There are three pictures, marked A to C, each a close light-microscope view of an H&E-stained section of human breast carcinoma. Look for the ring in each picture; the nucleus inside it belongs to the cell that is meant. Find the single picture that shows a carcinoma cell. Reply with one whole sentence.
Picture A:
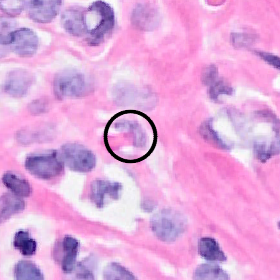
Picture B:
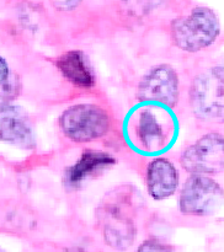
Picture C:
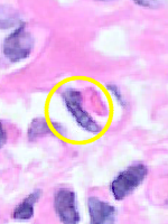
The carcinoma cell is the one in picture B.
